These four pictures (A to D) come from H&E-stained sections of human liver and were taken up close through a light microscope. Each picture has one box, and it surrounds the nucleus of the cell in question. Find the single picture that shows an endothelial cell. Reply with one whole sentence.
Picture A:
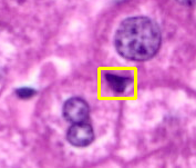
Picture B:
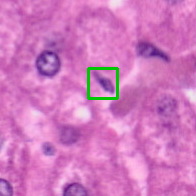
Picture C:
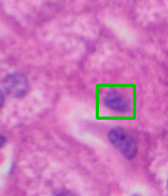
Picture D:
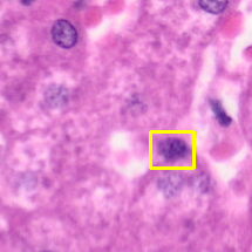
It is picture B that shows the endothelial cell.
